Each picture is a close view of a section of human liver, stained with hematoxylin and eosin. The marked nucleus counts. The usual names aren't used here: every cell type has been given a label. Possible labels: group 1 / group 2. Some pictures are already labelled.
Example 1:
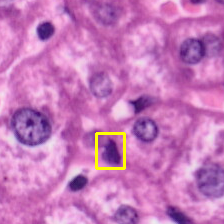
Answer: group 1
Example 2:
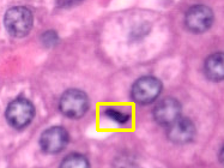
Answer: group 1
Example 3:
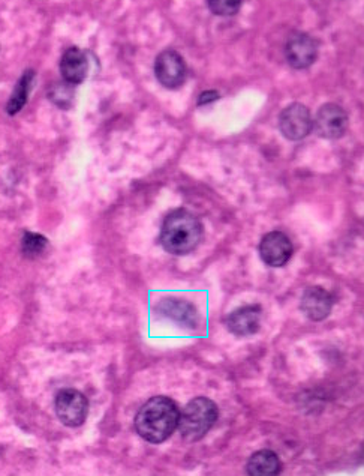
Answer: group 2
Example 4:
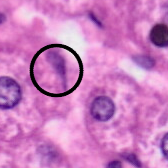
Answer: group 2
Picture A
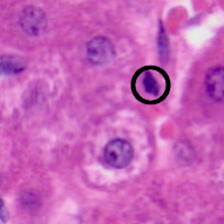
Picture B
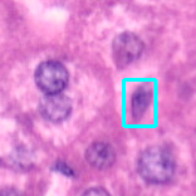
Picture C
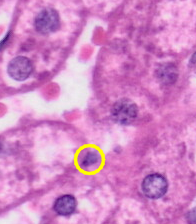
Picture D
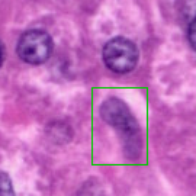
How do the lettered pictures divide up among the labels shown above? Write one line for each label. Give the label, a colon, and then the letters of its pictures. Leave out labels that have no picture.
group 1: A, C
group 2: B, D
